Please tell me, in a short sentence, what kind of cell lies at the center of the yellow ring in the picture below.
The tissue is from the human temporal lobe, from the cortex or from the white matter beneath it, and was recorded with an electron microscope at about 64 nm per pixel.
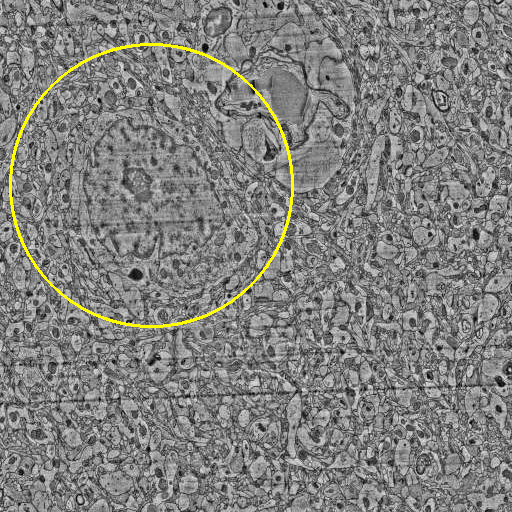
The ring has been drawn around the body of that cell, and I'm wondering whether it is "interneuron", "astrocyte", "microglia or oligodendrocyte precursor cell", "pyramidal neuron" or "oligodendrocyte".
The cell at the center of the ring is an interneuron.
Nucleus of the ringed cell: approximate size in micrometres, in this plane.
In this plane the nucleus measures roughly 10 by 8 micrometres.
